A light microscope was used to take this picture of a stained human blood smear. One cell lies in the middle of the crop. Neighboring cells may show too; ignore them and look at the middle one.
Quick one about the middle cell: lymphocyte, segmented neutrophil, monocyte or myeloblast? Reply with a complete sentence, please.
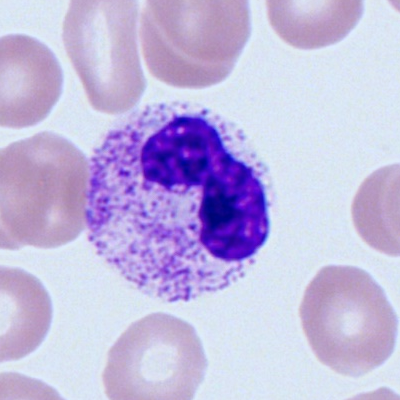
In the middle of this smear crop is a segmented neutrophil.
